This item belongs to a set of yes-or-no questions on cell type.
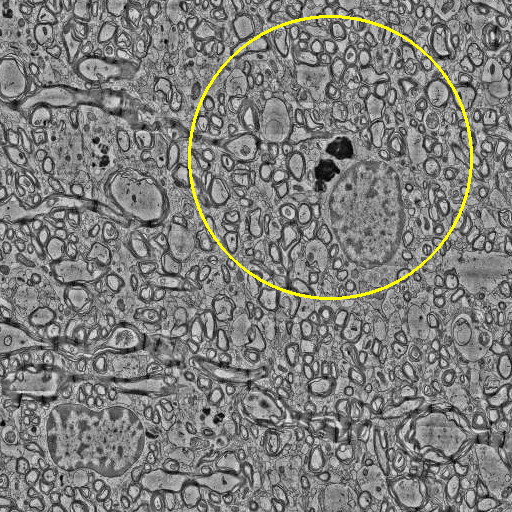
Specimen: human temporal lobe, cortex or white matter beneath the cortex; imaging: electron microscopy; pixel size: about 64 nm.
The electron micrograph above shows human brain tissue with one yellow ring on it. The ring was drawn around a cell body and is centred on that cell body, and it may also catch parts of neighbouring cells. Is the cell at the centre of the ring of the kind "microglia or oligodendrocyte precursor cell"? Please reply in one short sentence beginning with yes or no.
No, that cell is of another kind.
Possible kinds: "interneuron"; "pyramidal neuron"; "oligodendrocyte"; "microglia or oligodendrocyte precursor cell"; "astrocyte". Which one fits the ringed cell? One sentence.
As it turns out, the cell at the ring centre is an oligodendrocyte.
